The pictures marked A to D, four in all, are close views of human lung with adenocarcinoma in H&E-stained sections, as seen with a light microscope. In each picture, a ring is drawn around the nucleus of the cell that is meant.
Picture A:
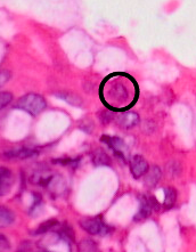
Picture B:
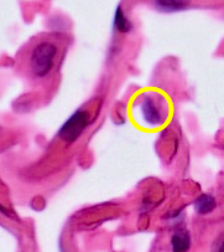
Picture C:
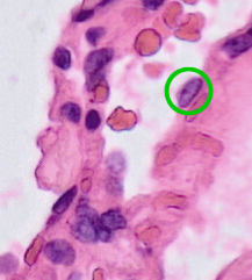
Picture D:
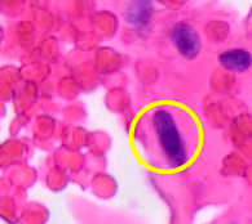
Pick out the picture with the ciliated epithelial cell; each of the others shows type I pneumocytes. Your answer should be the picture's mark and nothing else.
A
